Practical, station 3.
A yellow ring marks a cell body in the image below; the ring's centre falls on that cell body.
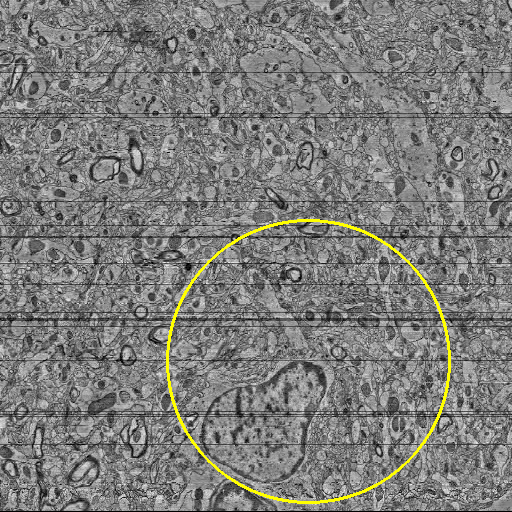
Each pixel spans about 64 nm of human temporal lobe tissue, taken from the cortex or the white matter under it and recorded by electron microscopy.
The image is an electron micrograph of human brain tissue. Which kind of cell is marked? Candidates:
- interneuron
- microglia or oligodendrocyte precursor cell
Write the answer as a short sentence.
The marked cell body is that of a microglial cell or oligodendrocyte precursor cell.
